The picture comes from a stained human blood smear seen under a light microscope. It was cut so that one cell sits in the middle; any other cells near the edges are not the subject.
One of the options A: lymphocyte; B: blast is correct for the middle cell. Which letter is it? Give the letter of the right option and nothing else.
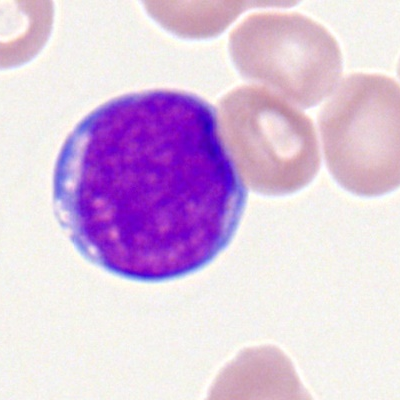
B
